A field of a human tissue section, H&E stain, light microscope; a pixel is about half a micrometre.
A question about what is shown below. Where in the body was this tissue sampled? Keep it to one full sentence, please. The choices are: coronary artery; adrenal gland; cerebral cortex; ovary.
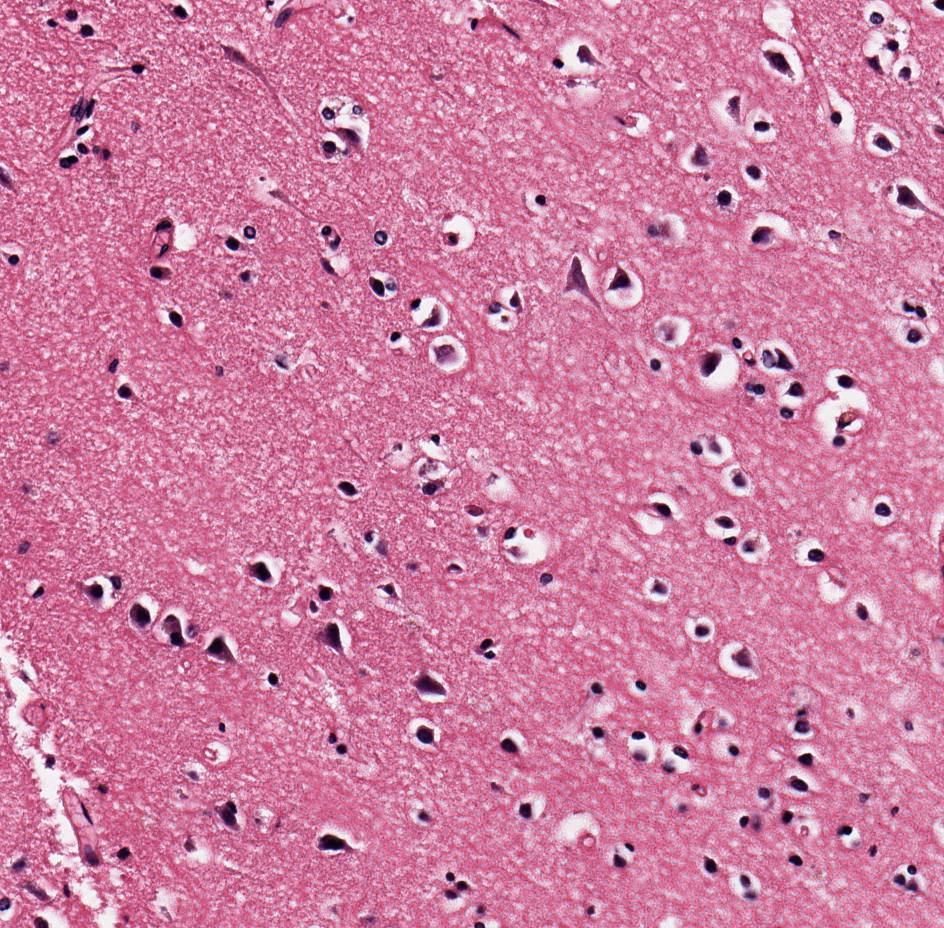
Sampling of this tissue was done from the cerebral cortex.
